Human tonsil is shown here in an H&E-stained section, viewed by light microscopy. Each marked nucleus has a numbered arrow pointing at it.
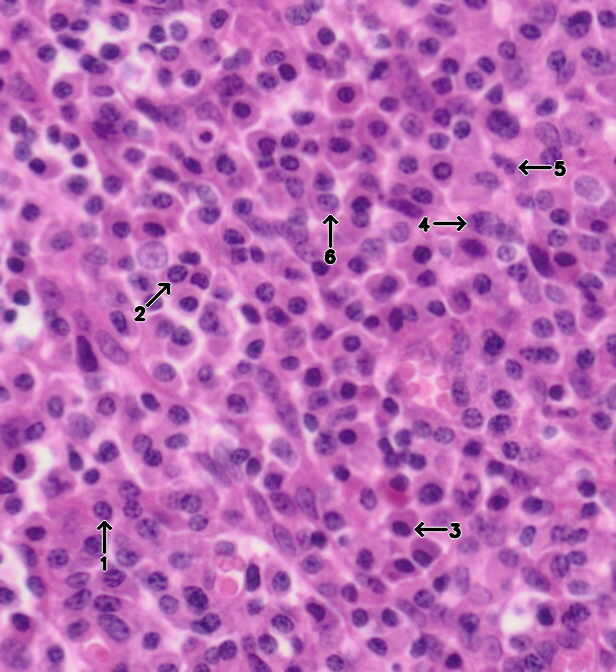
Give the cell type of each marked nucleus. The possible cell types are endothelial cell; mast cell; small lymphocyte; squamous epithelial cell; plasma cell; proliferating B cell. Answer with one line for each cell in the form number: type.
1: plasma cell
2: plasma cell
3: plasma cell
4: squamous epithelial cell
5: squamous epithelial cell
6: plasma cell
